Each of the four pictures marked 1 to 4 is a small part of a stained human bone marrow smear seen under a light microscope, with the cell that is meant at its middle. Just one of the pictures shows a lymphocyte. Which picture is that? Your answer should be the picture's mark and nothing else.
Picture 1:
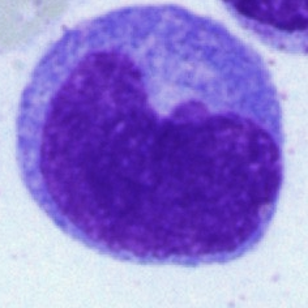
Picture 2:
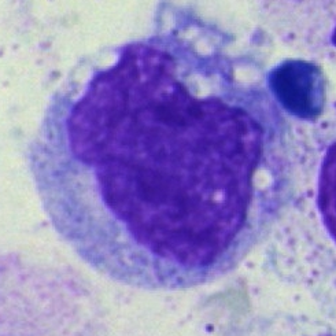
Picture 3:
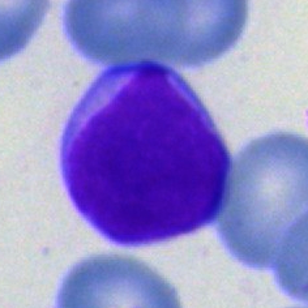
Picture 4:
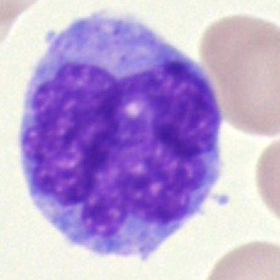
3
